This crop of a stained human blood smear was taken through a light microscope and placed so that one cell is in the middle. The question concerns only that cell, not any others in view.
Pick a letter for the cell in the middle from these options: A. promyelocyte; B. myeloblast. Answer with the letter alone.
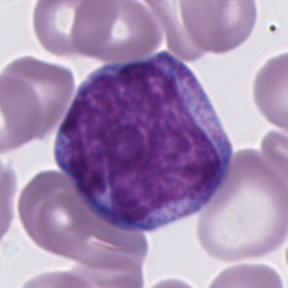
A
